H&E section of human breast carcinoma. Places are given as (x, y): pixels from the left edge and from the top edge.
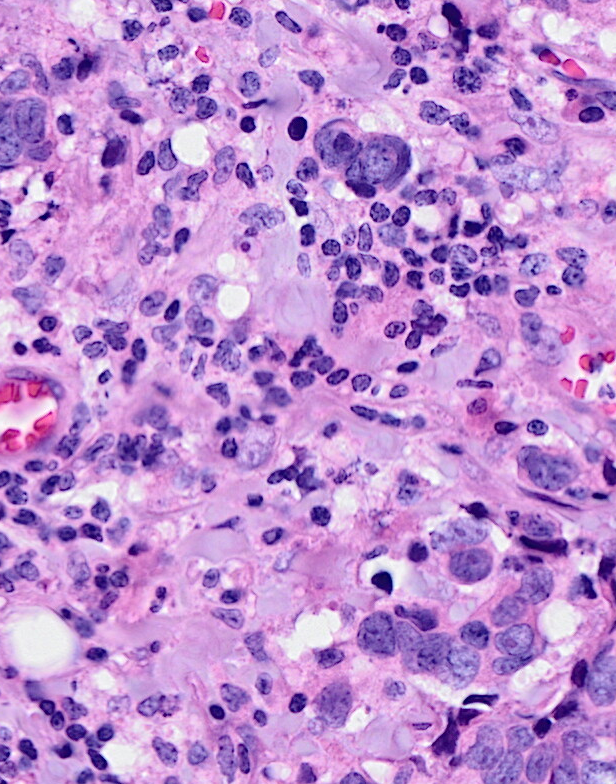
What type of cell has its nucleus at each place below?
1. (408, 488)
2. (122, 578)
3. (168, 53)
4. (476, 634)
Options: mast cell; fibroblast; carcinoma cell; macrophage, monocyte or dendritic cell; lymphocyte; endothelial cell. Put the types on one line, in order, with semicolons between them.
macrophage, monocyte or dendritic cell; lymphocyte; lymphocyte; carcinoma cell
